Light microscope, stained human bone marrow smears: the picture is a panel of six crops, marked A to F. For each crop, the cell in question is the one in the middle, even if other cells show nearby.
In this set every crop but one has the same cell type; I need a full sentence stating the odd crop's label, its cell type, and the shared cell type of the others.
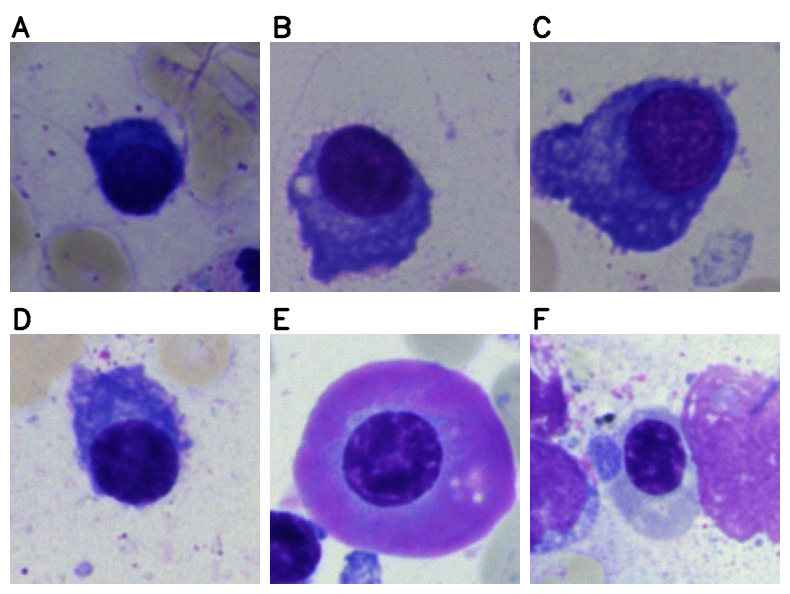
Excluding crop F, which is an erythroblast, the crops all show plasma cells.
